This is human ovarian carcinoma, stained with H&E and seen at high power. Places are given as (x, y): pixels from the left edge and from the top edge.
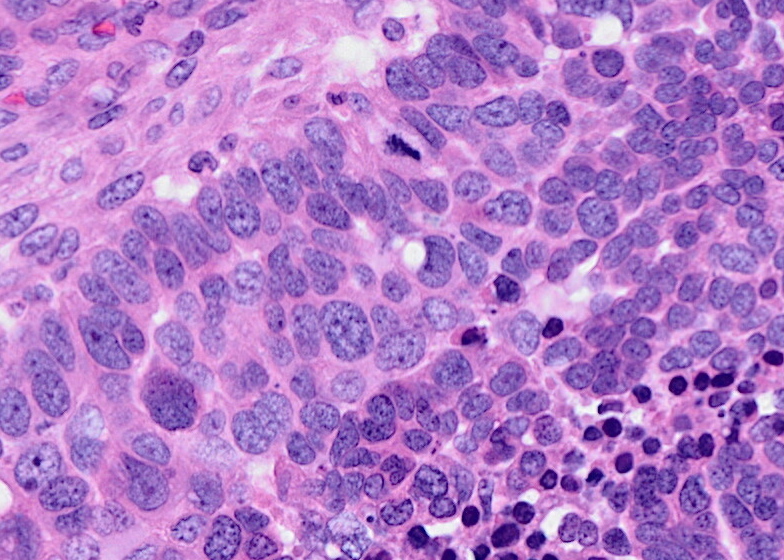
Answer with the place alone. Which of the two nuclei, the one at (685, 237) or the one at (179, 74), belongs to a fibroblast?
(179, 74)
